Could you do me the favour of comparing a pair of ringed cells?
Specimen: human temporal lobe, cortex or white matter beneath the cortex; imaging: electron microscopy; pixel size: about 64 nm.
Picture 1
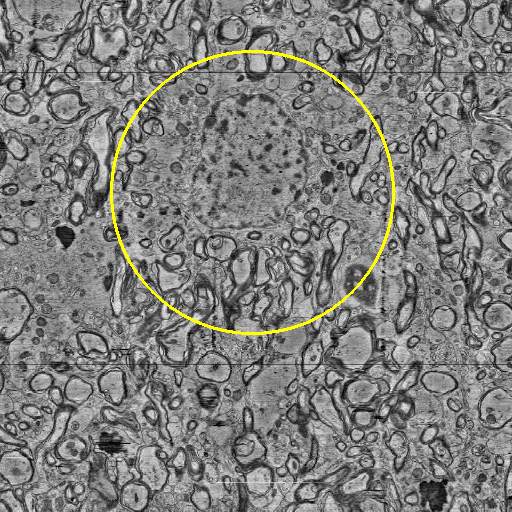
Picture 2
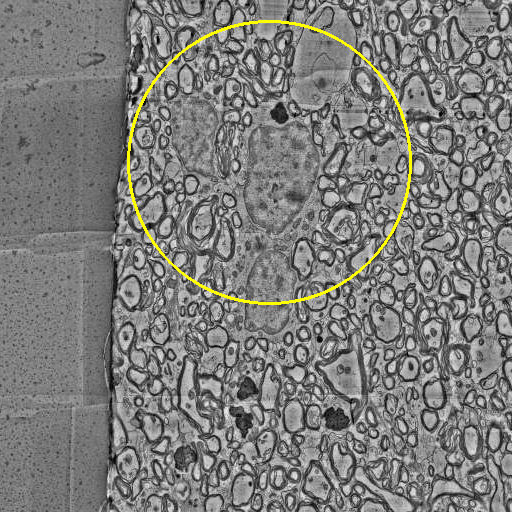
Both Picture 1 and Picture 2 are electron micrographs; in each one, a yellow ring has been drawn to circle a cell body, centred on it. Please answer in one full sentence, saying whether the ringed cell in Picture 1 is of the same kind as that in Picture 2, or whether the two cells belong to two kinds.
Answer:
The ringed cells in Picture 1 and Picture 2 belong to two kinds.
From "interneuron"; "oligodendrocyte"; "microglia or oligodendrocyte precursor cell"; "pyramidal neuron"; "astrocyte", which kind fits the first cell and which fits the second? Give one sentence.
The cell marked in the first picture is an astrocyte, and the one marked in the second is an oligodendrocyte.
